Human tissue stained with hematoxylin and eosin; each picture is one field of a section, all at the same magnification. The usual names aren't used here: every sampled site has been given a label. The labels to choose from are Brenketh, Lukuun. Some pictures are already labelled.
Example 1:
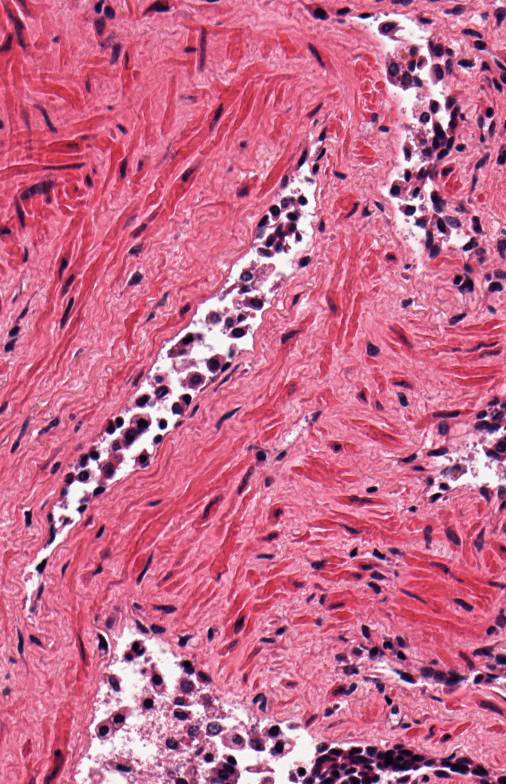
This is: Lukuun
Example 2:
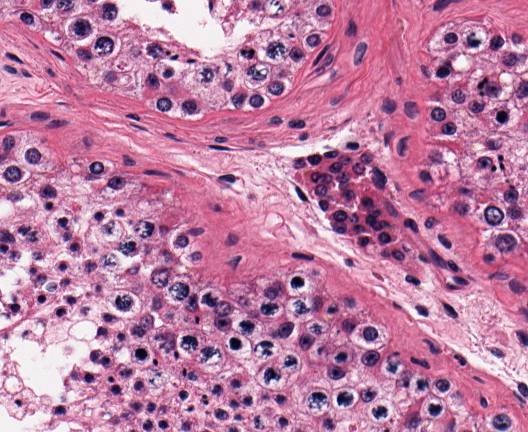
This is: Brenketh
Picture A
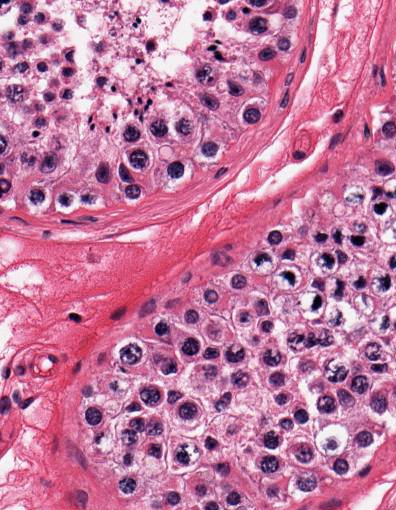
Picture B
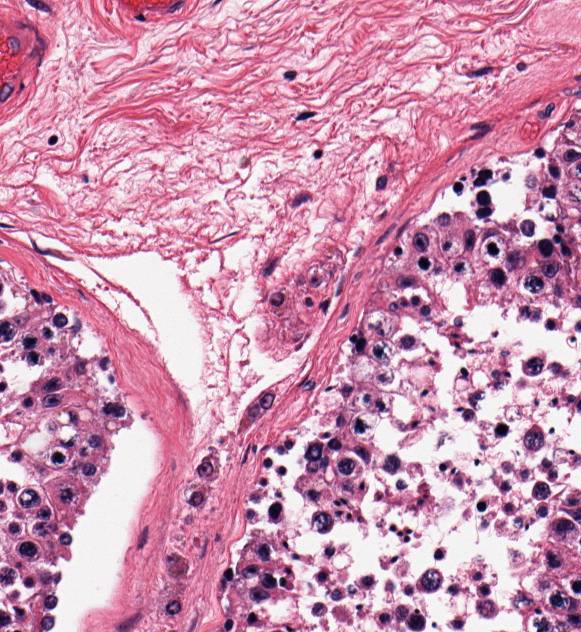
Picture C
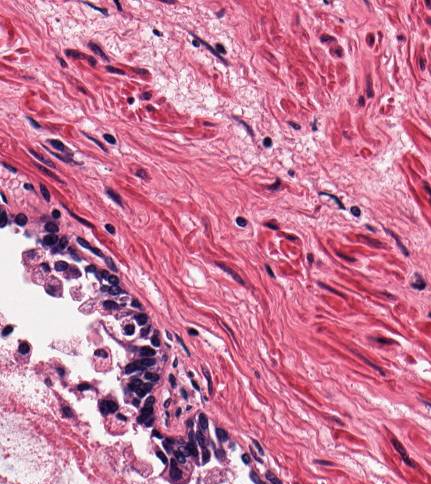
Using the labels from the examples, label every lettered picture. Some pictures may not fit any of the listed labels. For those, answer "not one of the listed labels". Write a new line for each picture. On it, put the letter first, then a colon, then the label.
A: Brenketh
B: Brenketh
C: Lukuun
